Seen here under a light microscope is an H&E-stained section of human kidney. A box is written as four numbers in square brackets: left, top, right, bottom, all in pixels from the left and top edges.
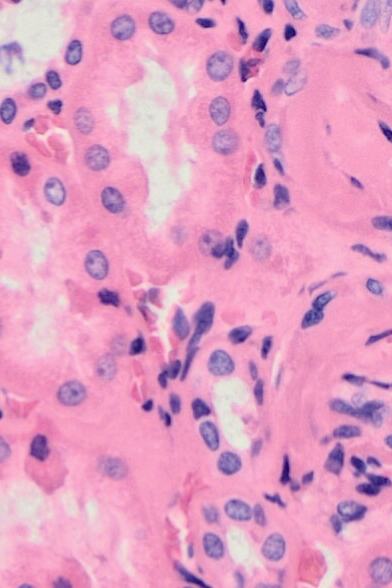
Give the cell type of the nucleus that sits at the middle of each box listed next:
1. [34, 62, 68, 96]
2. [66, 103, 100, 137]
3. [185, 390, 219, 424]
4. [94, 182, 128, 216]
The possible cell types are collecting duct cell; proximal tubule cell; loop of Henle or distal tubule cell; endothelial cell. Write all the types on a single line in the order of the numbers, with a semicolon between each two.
loop of Henle or distal tubule cell; proximal tubule cell; collecting duct cell; proximal tubule cell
